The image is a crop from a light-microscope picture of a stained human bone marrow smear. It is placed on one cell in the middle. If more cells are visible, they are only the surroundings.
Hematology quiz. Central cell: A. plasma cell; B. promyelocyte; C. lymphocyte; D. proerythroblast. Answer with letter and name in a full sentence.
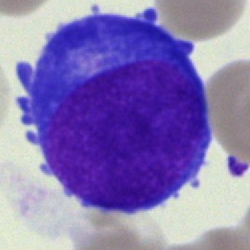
The central cell in this crop is a proerythroblast, so the correct choice is option D.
